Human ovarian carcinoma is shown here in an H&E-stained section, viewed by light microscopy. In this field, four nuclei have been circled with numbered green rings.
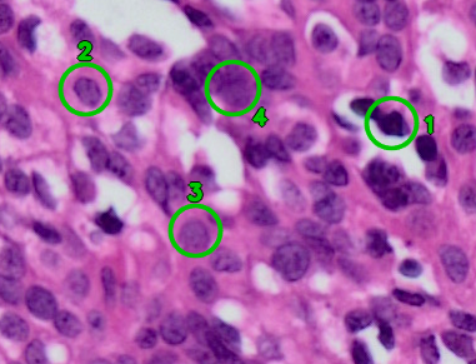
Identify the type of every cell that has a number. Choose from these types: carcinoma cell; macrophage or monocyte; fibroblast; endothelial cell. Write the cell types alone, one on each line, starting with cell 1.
carcinoma cell
macrophage or monocyte
carcinoma cell
carcinoma cell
